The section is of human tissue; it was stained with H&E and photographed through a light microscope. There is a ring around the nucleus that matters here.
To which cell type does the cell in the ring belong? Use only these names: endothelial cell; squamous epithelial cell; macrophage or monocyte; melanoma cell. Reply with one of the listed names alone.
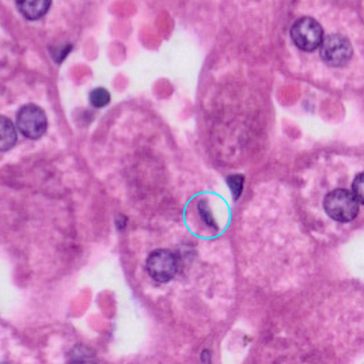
endothelial cell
